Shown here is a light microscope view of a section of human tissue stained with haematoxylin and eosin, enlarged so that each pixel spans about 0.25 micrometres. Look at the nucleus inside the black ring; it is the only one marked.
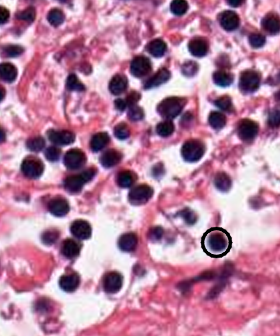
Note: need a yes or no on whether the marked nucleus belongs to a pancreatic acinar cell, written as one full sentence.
No, what the marked nucleus belongs to is a supporting cell, not a pancreatic acinar cell.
